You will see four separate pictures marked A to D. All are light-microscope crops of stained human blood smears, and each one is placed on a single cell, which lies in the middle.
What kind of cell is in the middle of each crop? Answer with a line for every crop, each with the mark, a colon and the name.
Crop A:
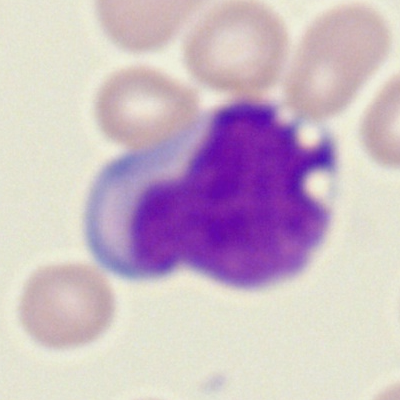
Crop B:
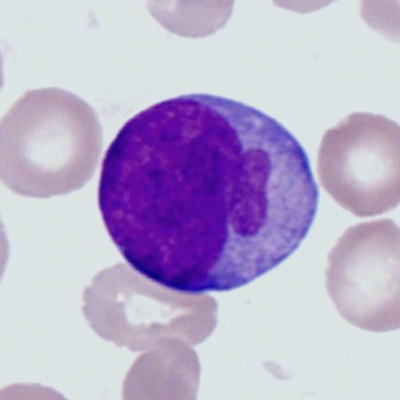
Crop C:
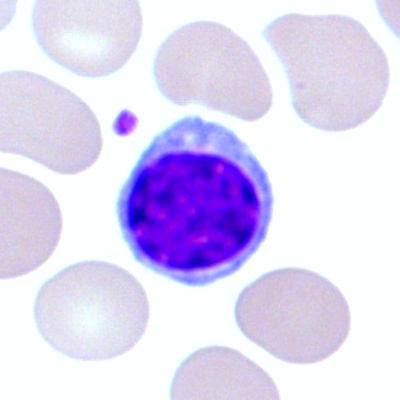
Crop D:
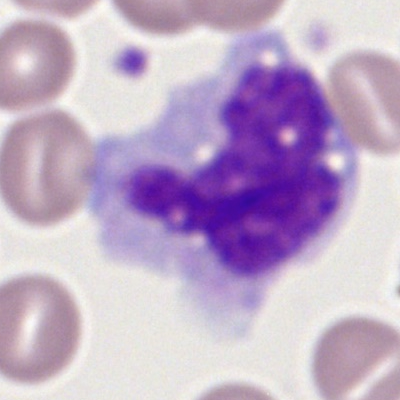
A: myeloblast
B: myeloblast
C: lymphocyte
D: monocyte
